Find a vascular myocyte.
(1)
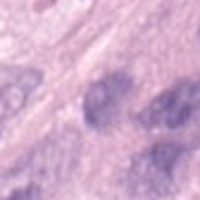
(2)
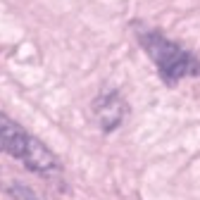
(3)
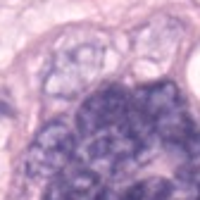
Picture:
2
